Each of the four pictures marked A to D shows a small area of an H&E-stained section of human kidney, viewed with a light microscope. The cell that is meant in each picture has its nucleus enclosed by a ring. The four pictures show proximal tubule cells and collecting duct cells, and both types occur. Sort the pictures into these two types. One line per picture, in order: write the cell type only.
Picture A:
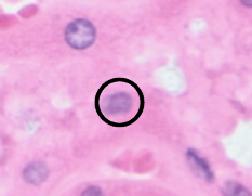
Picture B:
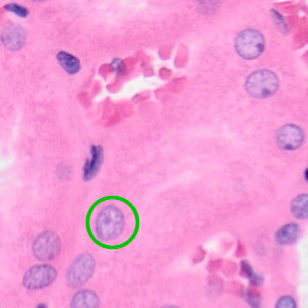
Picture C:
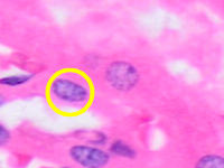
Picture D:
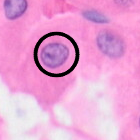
proximal tubule cell
proximal tubule cell
collecting duct cell
proximal tubule cell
